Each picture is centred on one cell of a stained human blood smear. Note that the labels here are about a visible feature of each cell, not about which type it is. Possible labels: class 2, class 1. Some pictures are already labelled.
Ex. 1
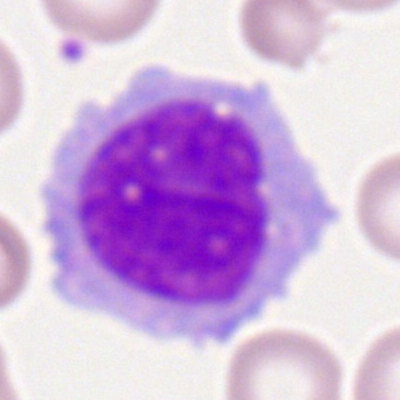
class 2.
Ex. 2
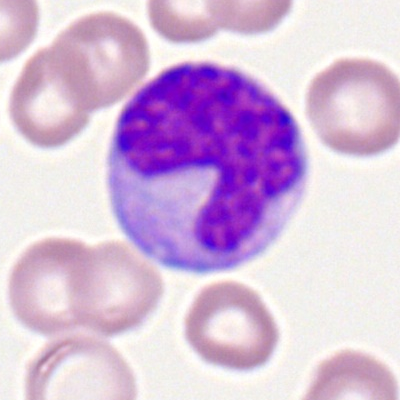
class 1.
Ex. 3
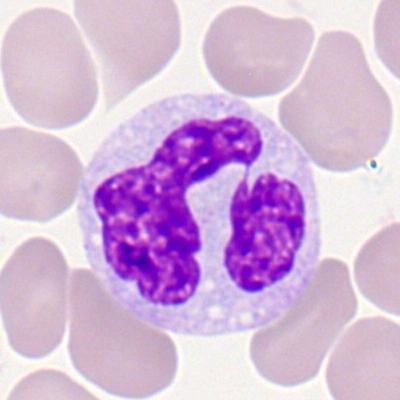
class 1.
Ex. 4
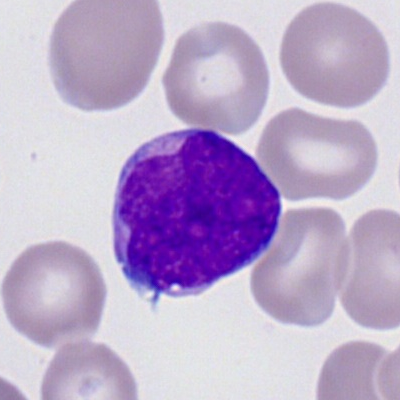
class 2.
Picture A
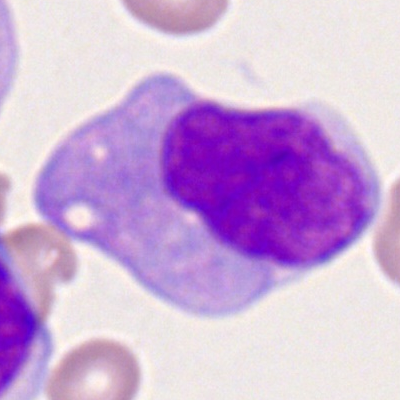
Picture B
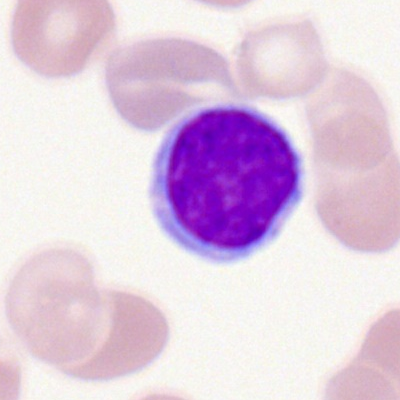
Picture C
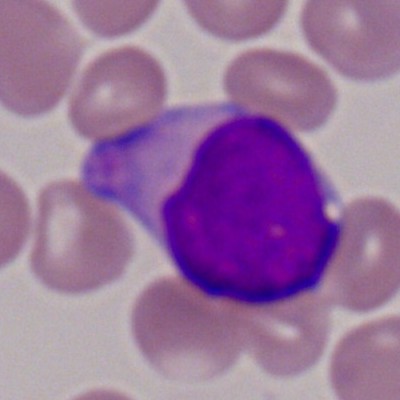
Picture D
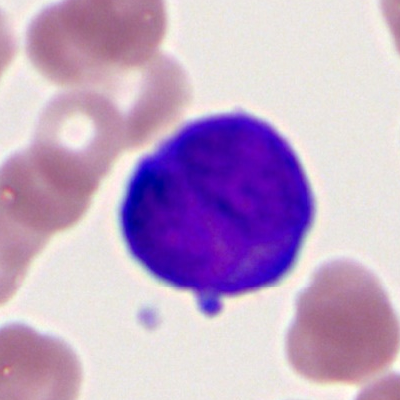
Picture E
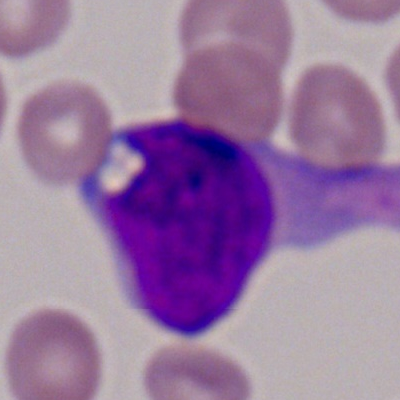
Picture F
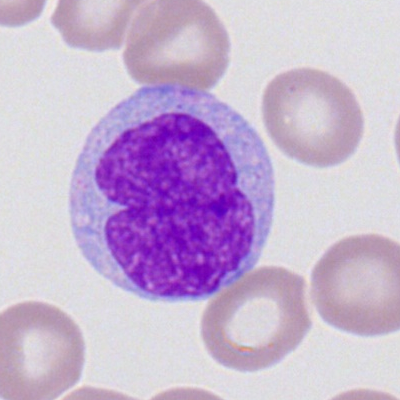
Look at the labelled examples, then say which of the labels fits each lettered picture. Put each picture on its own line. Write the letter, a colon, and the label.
A: class 2.
B: class 1.
C: class 2.
D: class 2.
E: class 2.
F: class 1.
